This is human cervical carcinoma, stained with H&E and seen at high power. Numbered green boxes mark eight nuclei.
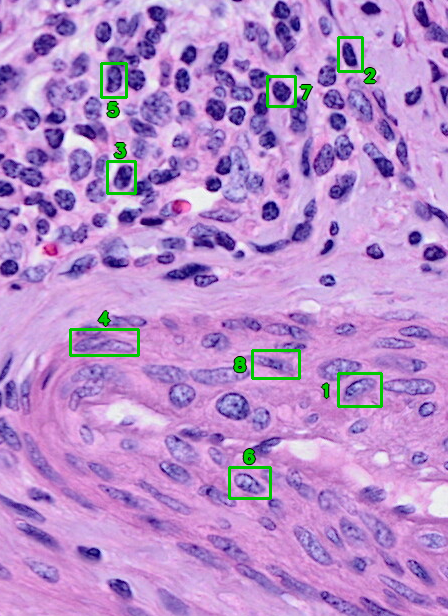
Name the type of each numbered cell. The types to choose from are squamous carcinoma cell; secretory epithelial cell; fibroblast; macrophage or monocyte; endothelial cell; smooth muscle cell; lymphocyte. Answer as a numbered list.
1. smooth muscle cell
2. lymphocyte
3. lymphocyte
4. smooth muscle cell
5. lymphocyte
6. smooth muscle cell
7. lymphocyte
8. smooth muscle cell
